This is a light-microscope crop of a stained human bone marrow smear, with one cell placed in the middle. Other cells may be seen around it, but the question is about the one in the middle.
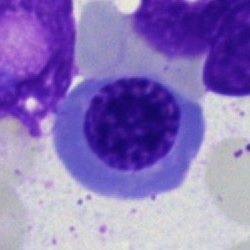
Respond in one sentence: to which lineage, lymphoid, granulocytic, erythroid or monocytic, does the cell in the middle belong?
In terms of lineage, the cell in the middle is erythroid.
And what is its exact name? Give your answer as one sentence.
Whatever else lies nearby, the middle cell is an erythroblast.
